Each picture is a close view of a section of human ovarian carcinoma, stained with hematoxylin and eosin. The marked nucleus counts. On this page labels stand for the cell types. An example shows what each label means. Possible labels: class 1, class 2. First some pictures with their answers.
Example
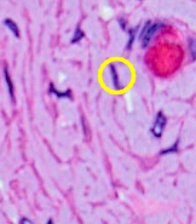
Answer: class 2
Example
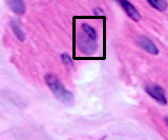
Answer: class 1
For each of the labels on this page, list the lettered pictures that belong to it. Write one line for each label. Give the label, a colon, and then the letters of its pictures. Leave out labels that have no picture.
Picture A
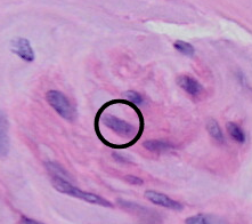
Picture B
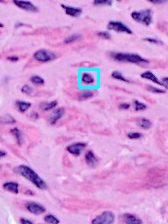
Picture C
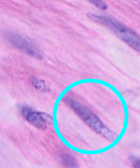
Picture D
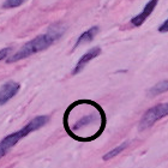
class 1: A, B, C, D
